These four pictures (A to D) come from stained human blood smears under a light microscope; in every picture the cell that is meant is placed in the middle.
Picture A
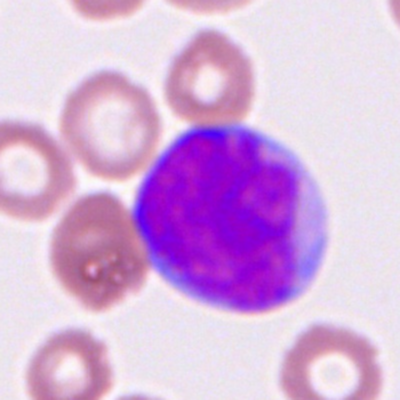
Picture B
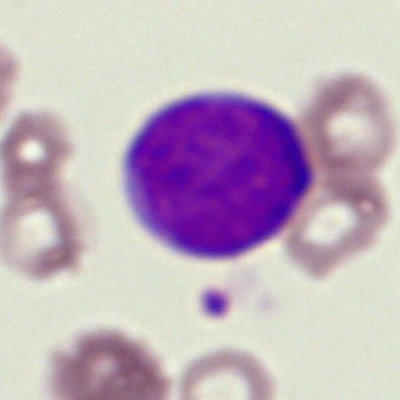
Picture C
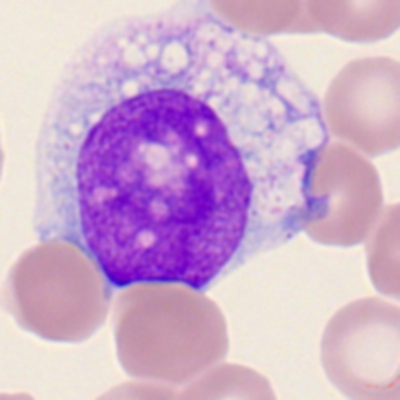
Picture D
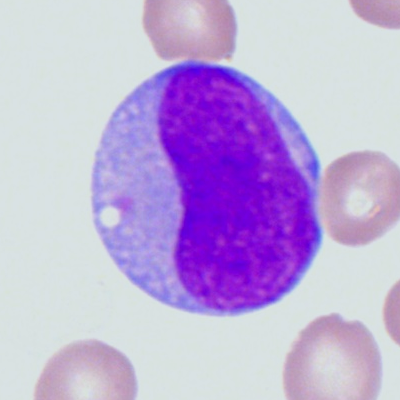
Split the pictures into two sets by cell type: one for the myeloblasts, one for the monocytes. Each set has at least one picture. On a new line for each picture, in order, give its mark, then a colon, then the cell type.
A: myeloblast
B: myeloblast
C: monocyte
D: myeloblast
